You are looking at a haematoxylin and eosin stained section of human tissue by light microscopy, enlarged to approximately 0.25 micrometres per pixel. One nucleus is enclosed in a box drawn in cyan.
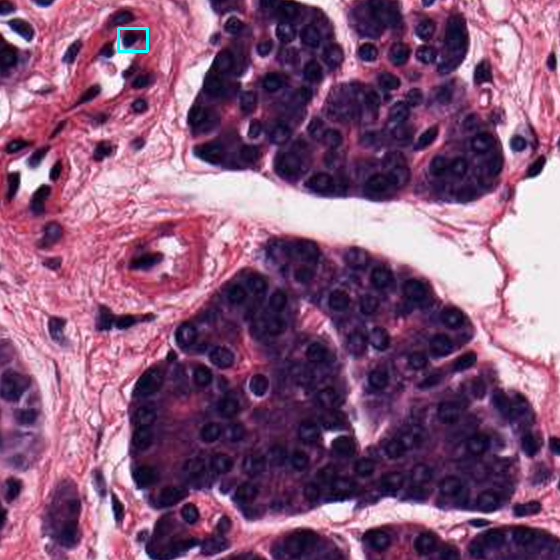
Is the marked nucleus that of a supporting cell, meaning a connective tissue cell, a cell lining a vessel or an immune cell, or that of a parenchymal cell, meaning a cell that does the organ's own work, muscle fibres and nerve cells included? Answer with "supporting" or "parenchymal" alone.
supporting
